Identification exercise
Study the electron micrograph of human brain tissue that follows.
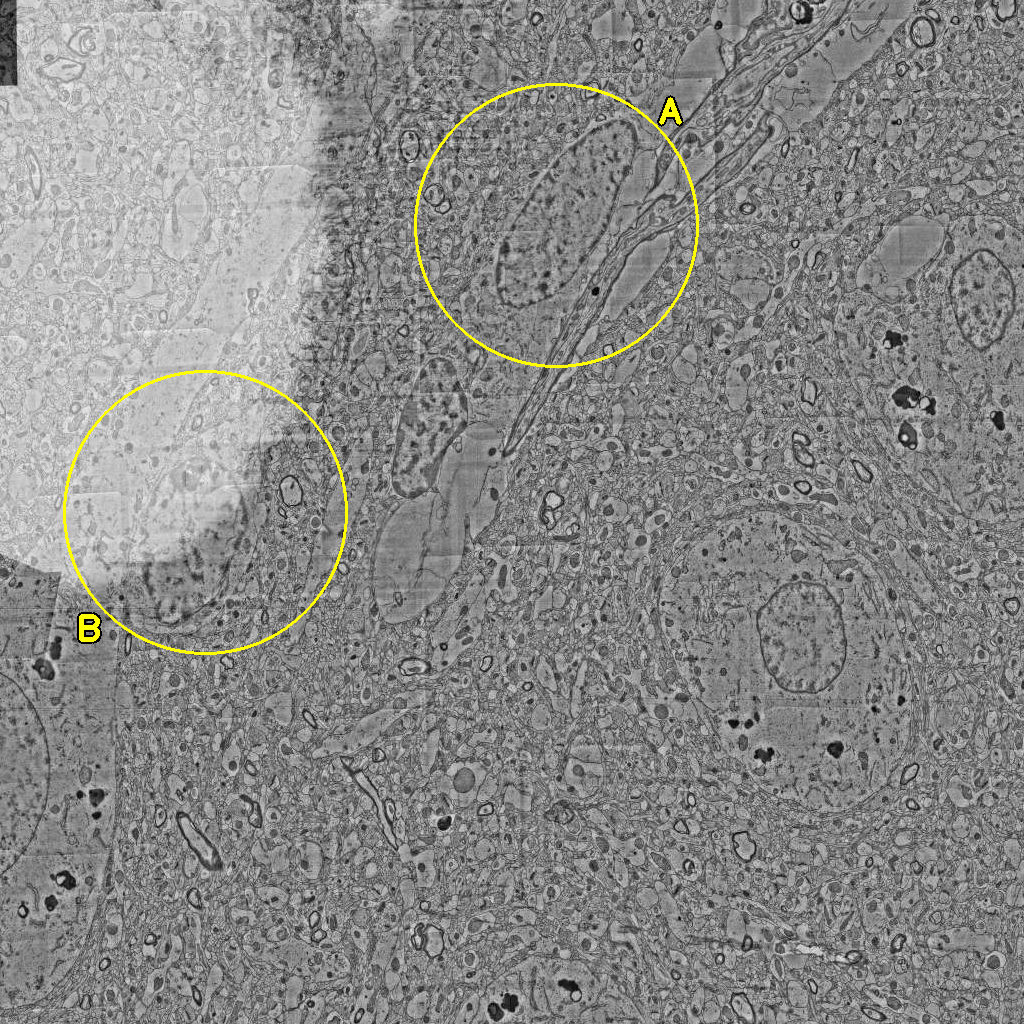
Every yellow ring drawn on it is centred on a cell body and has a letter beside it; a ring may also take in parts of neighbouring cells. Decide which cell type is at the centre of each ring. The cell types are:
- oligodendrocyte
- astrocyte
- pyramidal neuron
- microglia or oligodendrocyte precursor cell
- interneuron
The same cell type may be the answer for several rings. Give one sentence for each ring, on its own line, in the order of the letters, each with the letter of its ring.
Ring A encircles a microglial cell or oligodendrocyte precursor cell.
Ring B encircles an interneuron.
